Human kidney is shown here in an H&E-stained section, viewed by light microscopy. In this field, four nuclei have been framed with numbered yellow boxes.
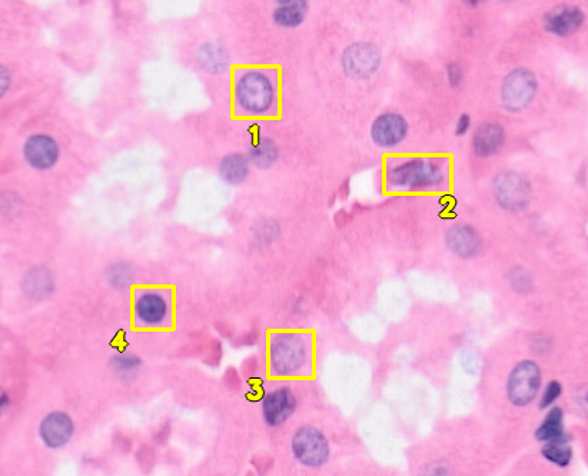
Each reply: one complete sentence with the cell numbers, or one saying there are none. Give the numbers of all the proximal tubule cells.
As for the cells numbered 1, 3 and 4, they are proximal tubule cells.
